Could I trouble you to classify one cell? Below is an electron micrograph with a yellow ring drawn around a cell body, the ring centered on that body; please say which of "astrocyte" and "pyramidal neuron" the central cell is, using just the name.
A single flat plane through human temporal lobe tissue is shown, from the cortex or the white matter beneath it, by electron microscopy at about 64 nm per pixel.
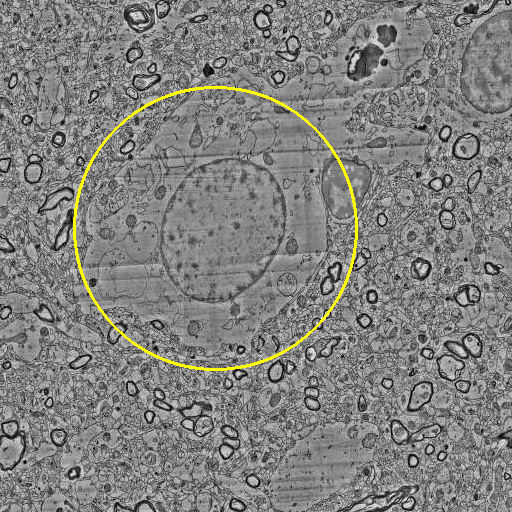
astrocyte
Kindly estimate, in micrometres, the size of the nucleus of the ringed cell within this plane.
In this plane, roughly 9 by 8 micrometres.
